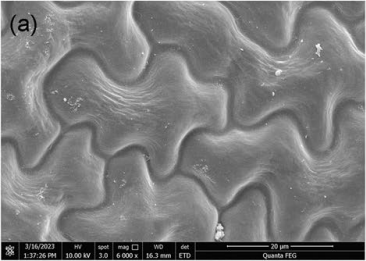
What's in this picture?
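This is the surface of a leaf seen at high magnification, showing the outlines of surface cells that interlock like jigsaw pieces with wavy, lobed borders. The cell walls meet in deep, sinuous grooves, and each cell bulges slightly between them. The cuticle covering the cells looks smooth and even, with only faint shallow ridges. Very little loose material lies on the surface, apart from a few small particles.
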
